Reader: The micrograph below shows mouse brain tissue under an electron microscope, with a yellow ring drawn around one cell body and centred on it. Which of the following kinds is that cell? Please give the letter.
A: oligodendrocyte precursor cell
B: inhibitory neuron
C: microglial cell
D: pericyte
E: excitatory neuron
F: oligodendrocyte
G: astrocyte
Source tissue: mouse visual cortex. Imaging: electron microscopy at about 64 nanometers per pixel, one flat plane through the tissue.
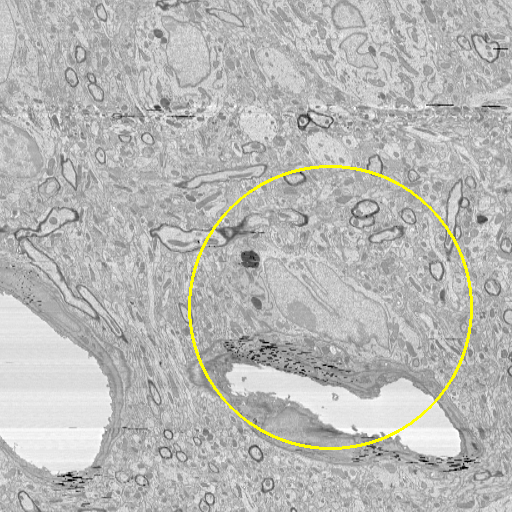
A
